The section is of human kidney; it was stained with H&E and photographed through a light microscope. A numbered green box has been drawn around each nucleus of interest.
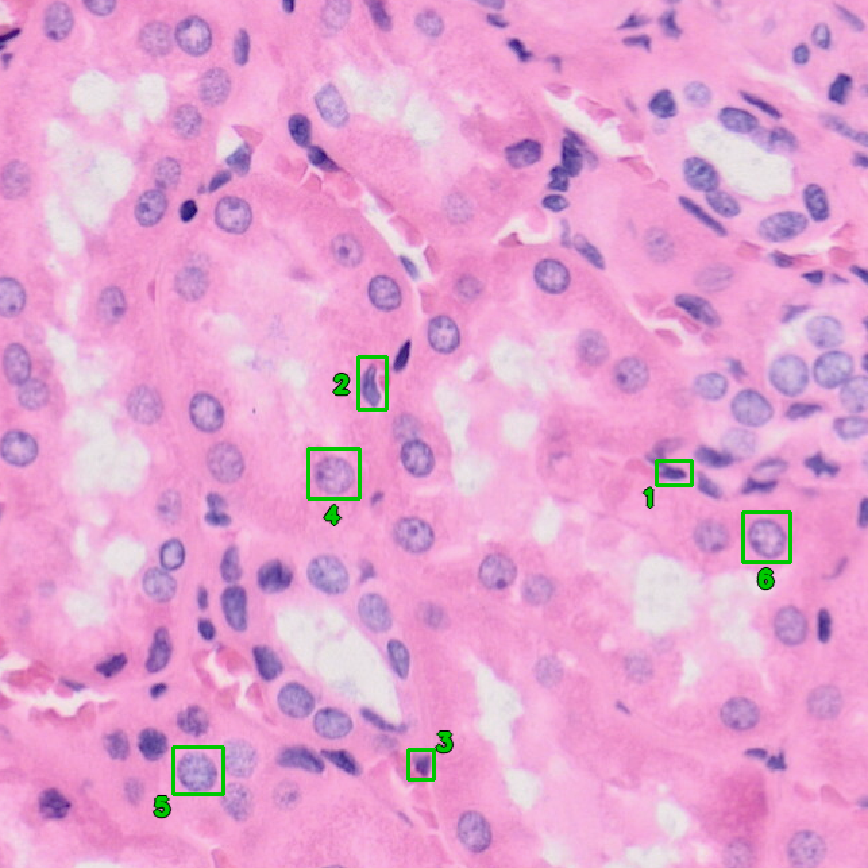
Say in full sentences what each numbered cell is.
Cell 1 is an endothelial cell, cell 2 is an endothelial cell, cell 3 is an endothelial cell, cell 4 is a proximal tubule cell, cell 5 is a loop of Henle or distal tubule cell and cell 6 is a proximal tubule cell.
